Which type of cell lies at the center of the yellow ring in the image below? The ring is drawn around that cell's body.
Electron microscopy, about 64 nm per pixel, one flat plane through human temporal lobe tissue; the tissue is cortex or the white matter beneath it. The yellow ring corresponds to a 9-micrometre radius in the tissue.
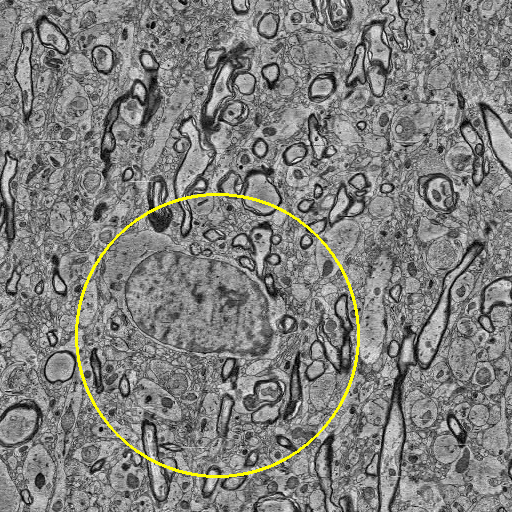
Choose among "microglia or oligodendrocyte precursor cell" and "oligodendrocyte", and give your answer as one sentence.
The cell body at the center belongs to a microglial cell or oligodendrocyte precursor cell.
